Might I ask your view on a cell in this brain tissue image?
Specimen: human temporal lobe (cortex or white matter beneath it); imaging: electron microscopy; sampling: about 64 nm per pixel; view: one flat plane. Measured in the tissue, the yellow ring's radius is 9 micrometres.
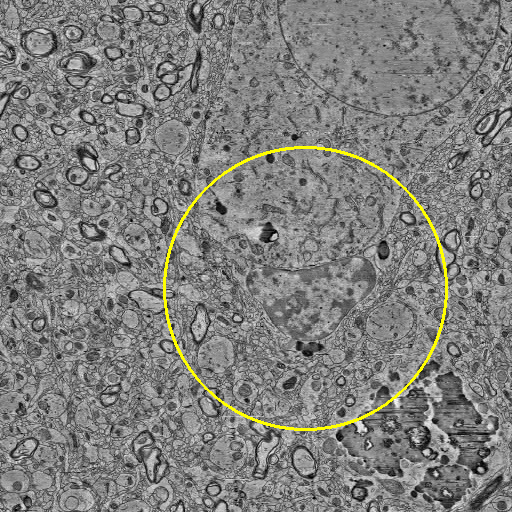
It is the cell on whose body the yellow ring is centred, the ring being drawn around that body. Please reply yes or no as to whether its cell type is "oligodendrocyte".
no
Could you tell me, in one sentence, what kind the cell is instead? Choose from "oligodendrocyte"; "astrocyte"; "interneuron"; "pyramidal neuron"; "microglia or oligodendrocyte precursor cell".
The cell at the ring centre is a microglial cell or oligodendrocyte precursor cell.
